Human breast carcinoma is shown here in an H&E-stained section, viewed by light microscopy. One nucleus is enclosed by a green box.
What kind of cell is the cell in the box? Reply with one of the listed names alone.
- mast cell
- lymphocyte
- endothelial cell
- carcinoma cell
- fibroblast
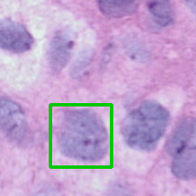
carcinoma cell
